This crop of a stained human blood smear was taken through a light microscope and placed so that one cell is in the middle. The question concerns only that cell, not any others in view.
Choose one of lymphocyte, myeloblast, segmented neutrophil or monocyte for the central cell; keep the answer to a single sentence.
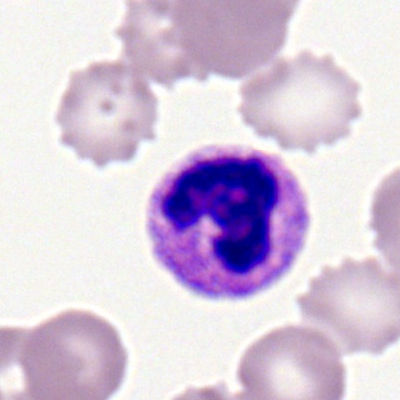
This crop is built around a segmented neutrophil at its centre.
